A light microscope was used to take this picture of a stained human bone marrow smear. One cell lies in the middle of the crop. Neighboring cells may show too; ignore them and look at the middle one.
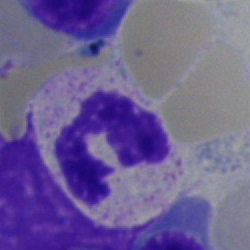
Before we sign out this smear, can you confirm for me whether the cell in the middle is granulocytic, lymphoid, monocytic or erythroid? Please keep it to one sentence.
The centered cell is a member of the granulocytic lineage.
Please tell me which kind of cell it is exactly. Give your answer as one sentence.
Within this crop, a segmented neutrophil occupies the central position.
